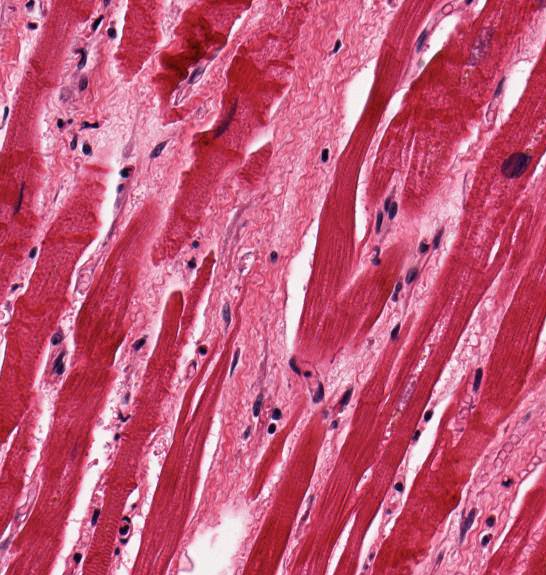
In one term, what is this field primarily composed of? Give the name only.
myocardium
